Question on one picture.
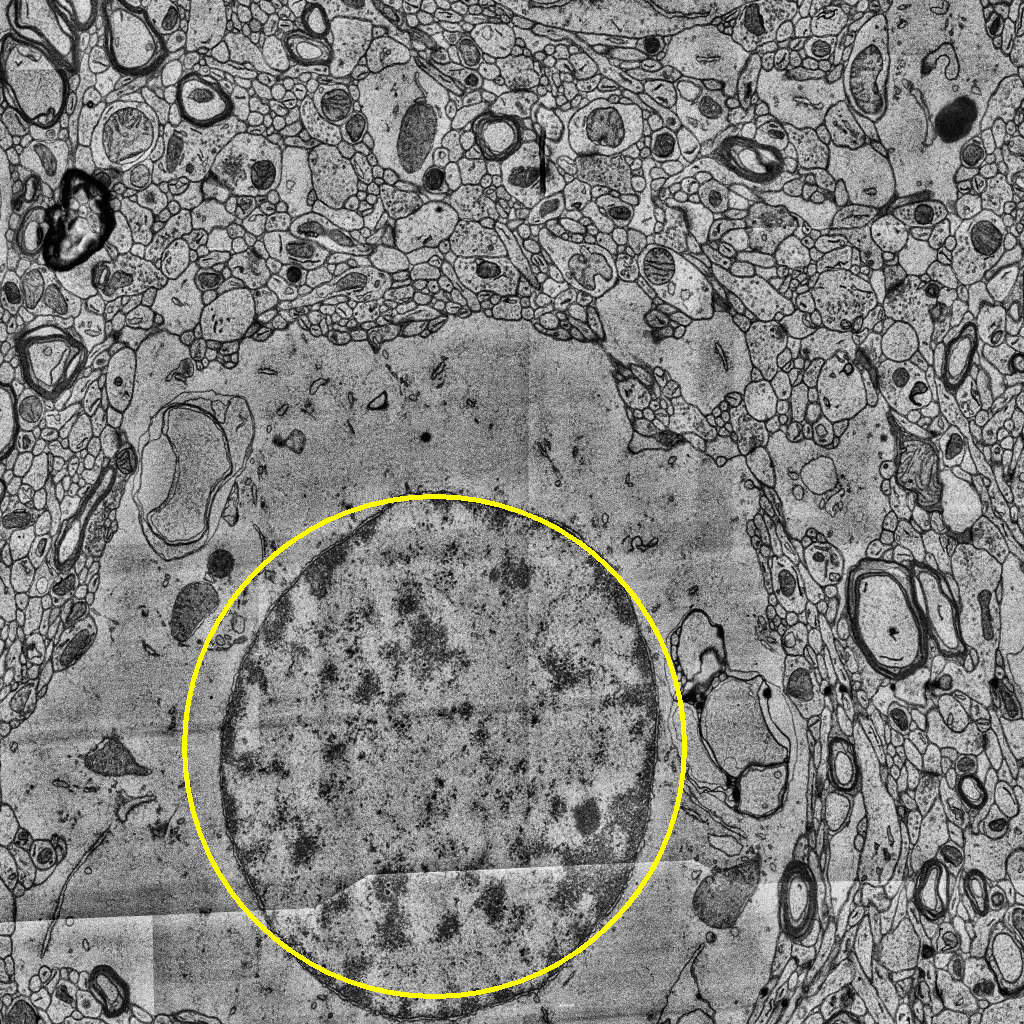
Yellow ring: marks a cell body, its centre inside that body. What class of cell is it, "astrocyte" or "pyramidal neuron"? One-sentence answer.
This is an astrocyte, the cell at the ring's centre.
